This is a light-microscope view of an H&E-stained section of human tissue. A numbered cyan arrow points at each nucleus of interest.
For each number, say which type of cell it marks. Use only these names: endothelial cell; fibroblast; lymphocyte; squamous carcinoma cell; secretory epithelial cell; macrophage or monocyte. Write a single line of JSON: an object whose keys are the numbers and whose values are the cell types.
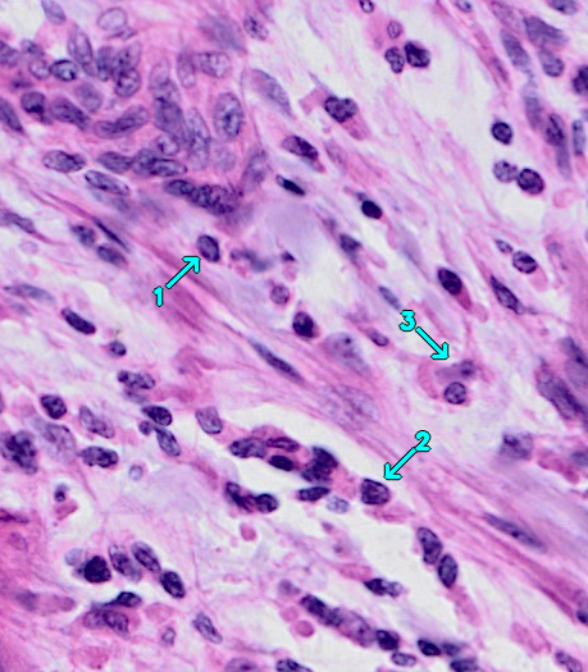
{"1": "lymphocyte", "2": "lymphocyte", "3": "macrophage or monocyte"}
